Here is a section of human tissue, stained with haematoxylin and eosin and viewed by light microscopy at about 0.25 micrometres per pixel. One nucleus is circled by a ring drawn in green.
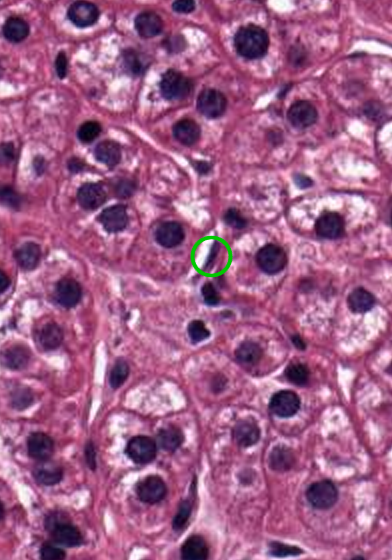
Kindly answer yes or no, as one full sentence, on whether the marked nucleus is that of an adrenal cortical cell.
No, the marked nucleus belongs to a supporting cell, and an adrenal cortical cell is not its owner.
